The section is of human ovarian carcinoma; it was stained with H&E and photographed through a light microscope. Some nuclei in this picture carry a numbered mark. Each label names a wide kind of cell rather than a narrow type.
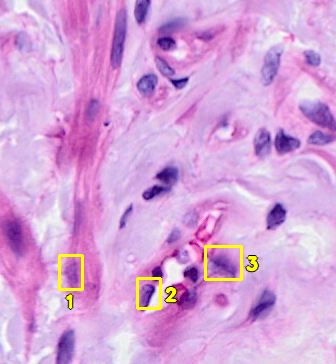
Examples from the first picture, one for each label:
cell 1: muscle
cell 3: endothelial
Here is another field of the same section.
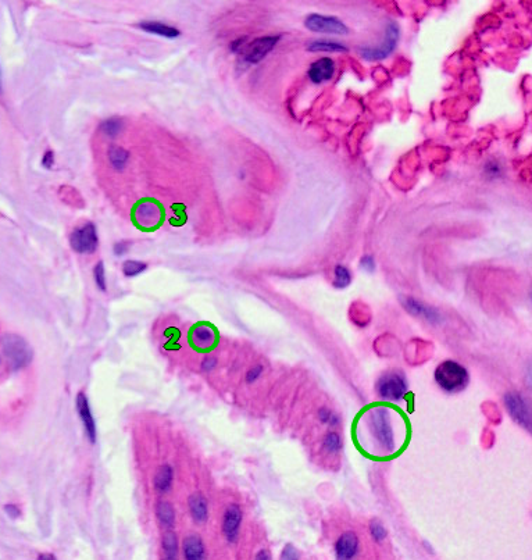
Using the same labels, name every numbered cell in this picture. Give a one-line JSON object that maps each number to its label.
{"1": "endothelial", "2": "muscle", "3": "muscle"}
